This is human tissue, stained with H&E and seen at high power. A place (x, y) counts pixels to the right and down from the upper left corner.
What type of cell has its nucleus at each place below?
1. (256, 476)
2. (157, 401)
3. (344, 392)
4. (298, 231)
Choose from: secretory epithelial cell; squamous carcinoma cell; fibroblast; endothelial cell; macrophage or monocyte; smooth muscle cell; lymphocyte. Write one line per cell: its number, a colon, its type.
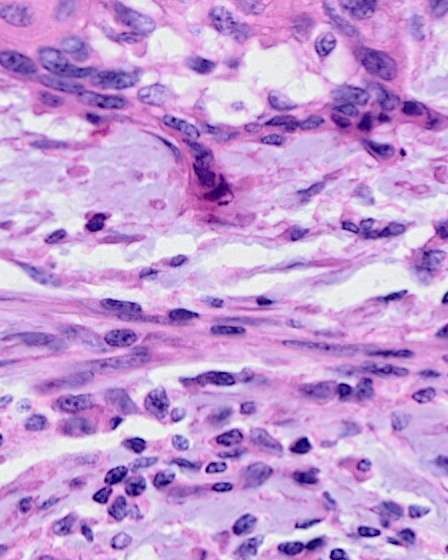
1: macrophage or monocyte
2: macrophage or monocyte
3: lymphocyte
4: fibroblast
